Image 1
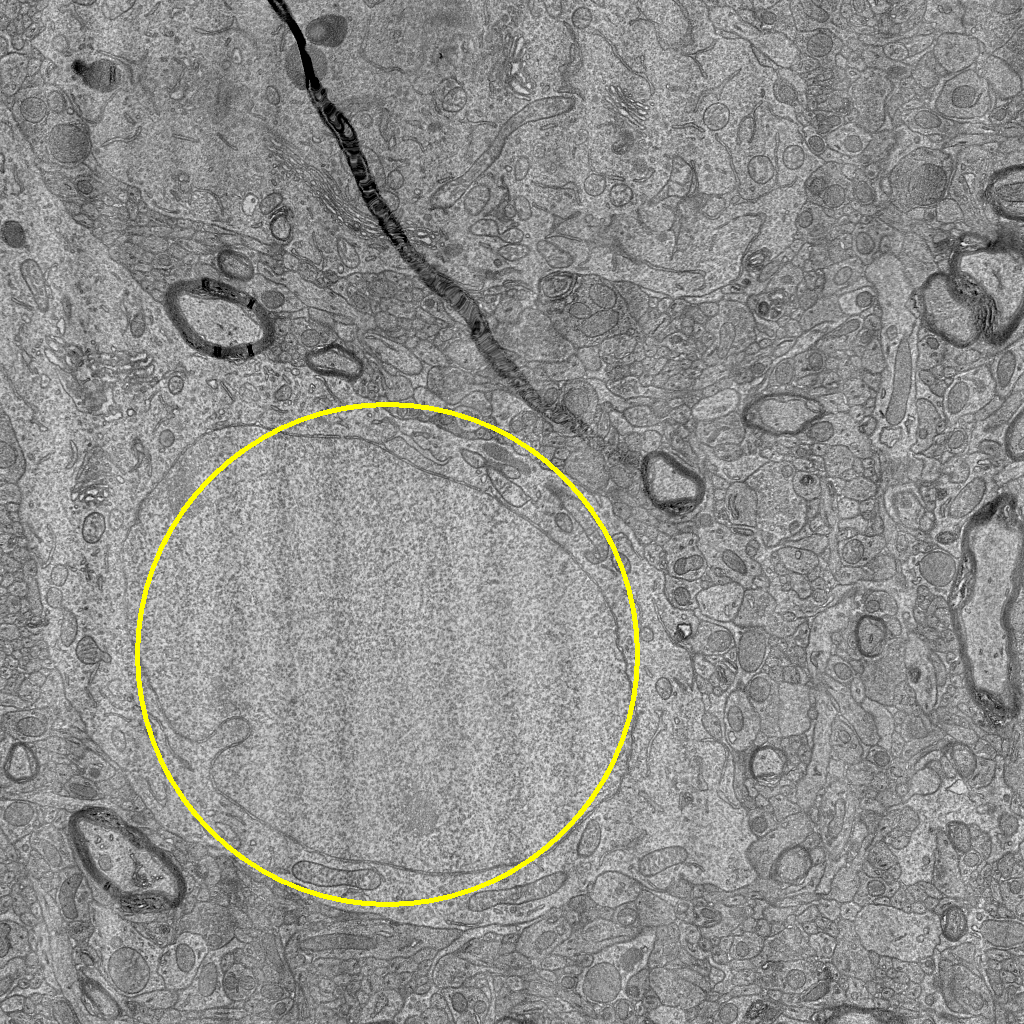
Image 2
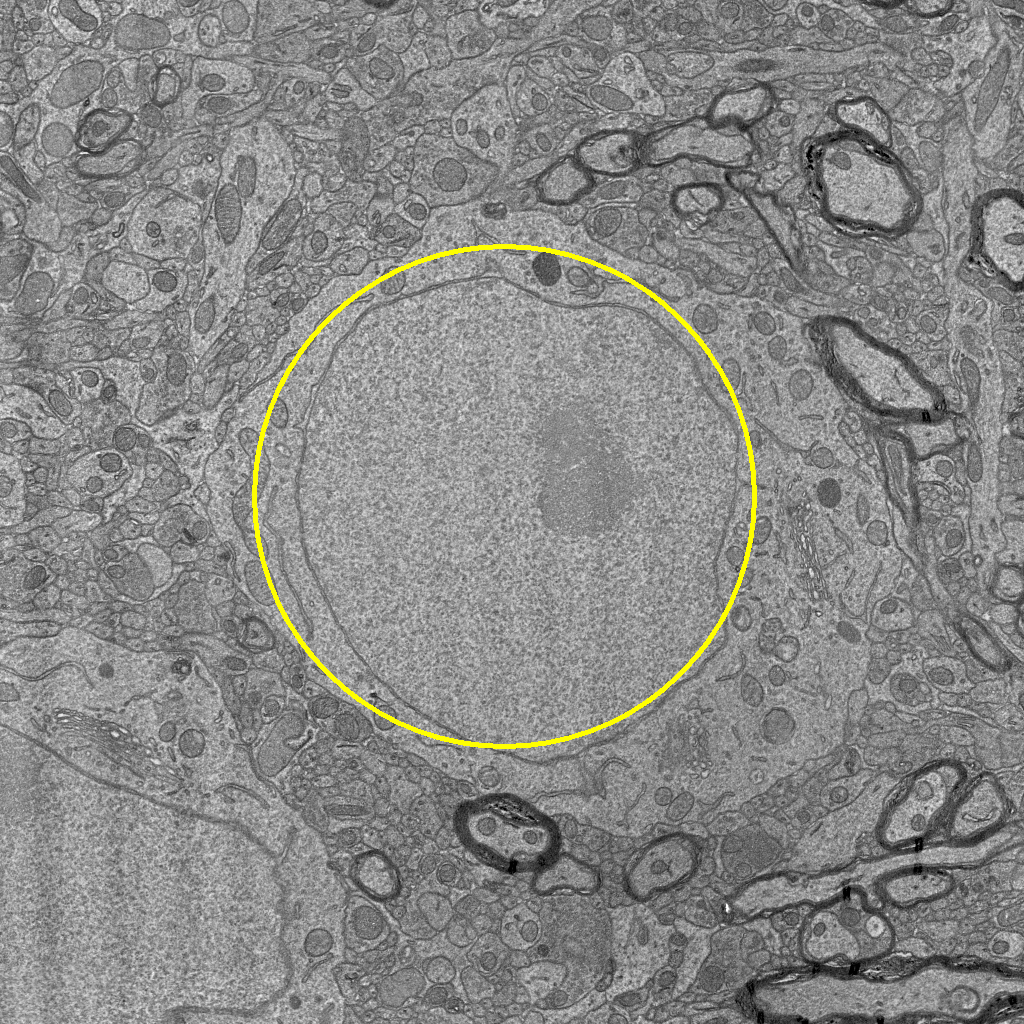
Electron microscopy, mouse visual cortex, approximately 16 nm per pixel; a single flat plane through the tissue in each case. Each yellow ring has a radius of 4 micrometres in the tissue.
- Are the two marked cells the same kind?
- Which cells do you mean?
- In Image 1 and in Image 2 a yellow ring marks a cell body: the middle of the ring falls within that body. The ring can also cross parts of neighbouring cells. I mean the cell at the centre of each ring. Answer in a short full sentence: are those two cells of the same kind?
Yes, both cells are of the same kind.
